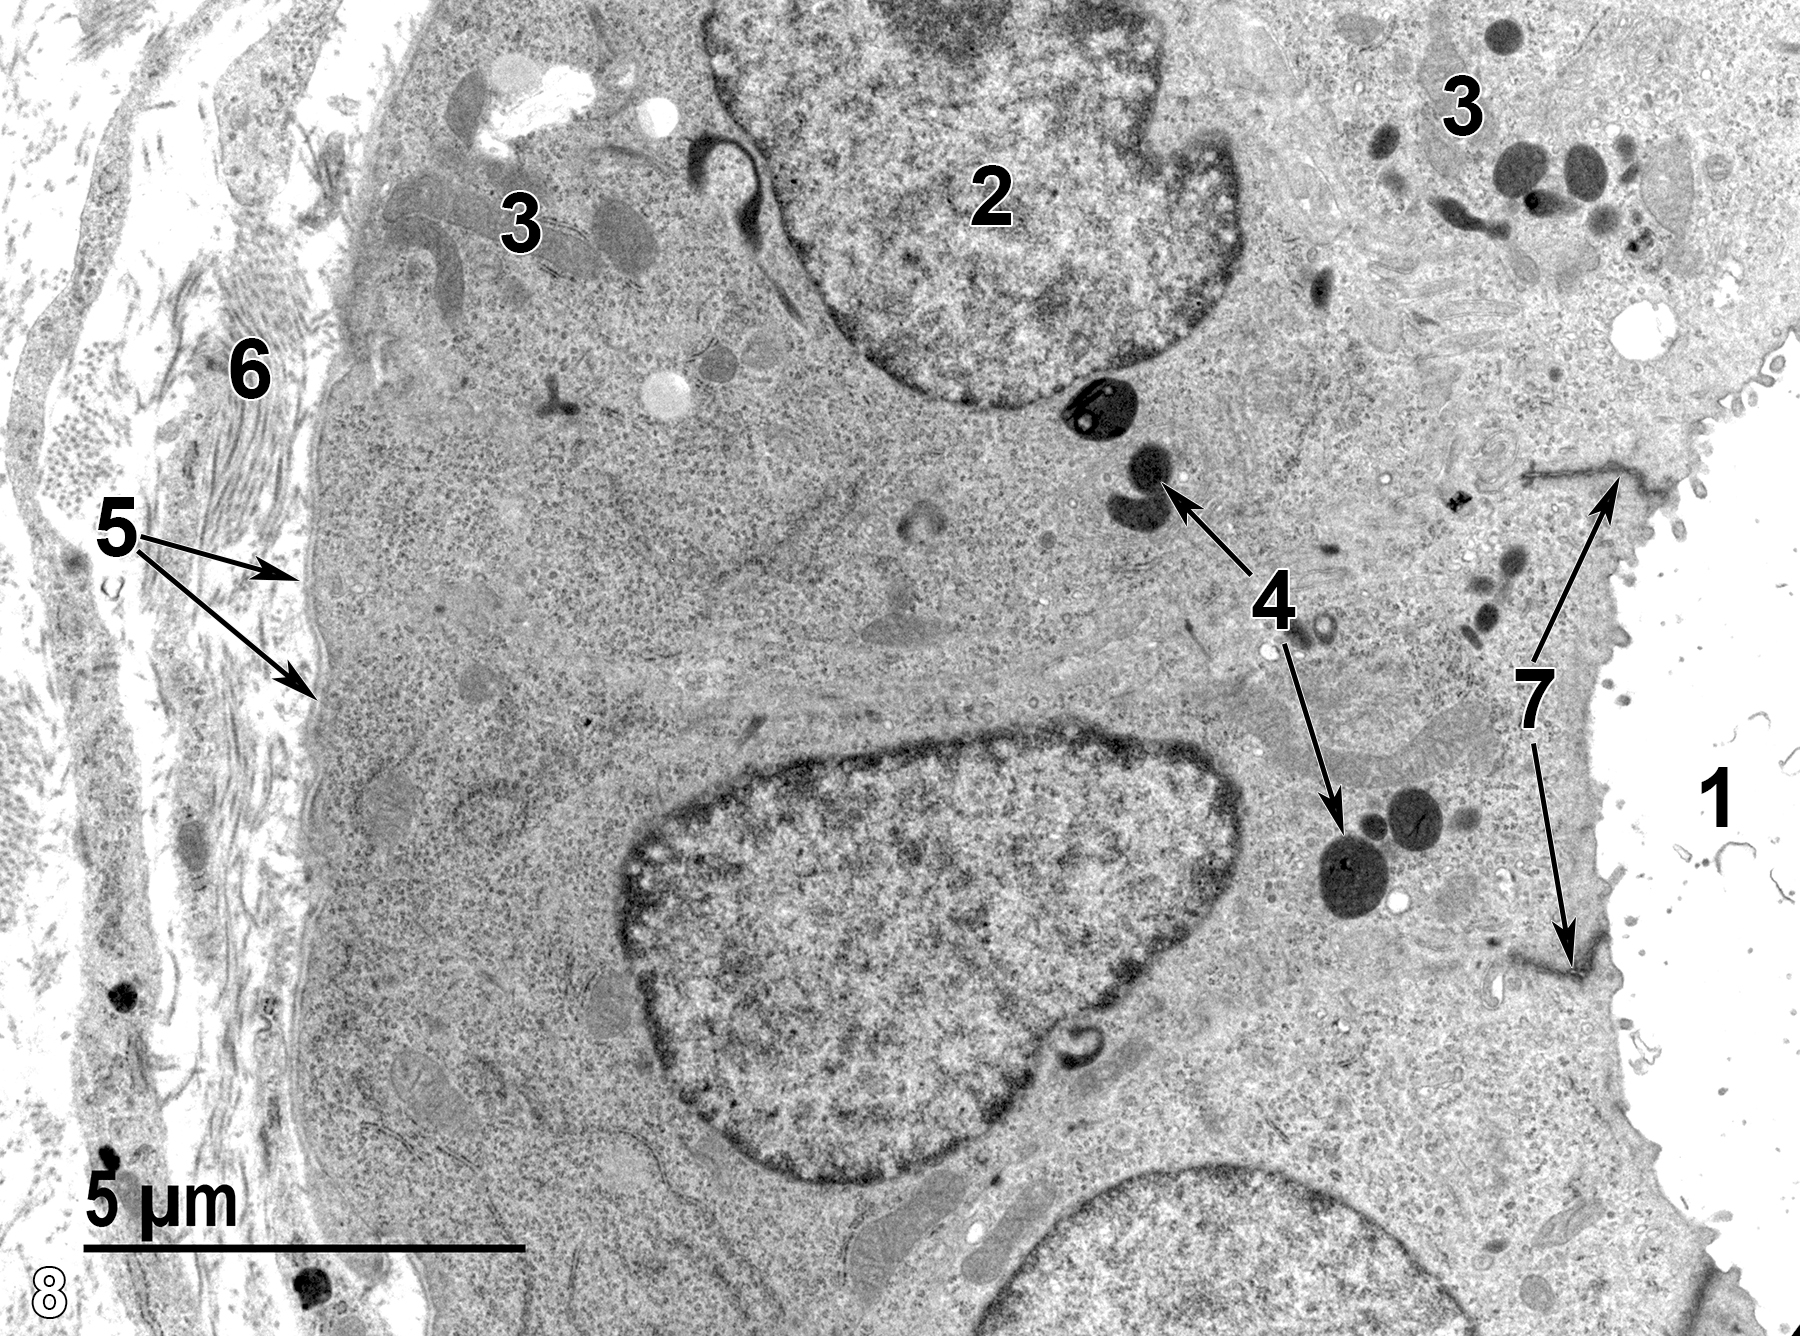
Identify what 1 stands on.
The number 1 marks the glandular lumen.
